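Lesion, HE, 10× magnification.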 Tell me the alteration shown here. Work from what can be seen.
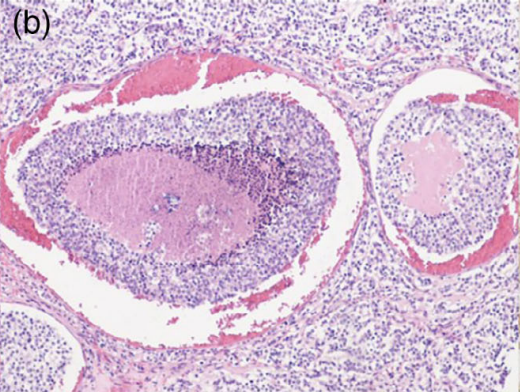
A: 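A rim of dark blue viable tumor cells surrounds the pink centre. A smaller nest on the right shows the same pink centre.
Hence: central necrosis.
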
